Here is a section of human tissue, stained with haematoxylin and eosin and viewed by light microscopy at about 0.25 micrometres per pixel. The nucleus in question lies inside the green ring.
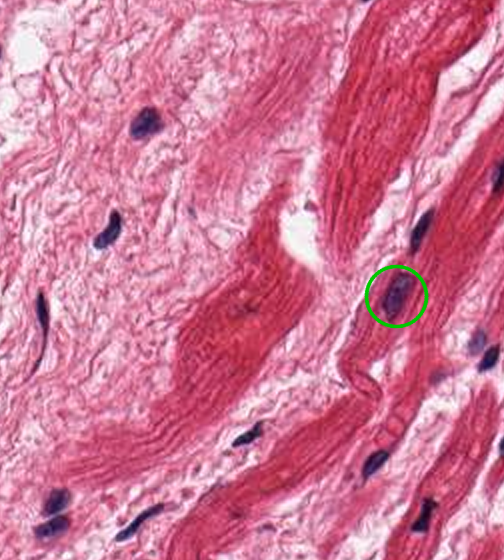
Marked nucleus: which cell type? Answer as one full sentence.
As shown, the marked nucleus belongs to a cardiomyocyte.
